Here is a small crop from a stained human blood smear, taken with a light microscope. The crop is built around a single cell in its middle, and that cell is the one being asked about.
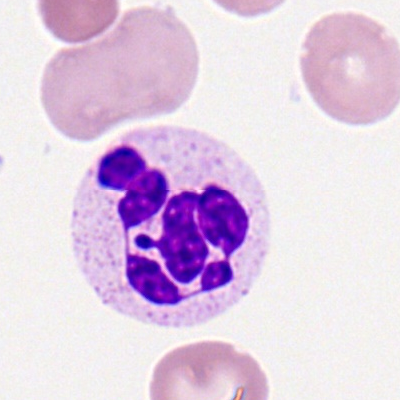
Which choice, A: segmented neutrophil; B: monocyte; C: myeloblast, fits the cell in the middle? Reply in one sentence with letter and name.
The central cell in this crop is a segmented neutrophil, so the correct choice is option A.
